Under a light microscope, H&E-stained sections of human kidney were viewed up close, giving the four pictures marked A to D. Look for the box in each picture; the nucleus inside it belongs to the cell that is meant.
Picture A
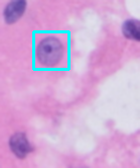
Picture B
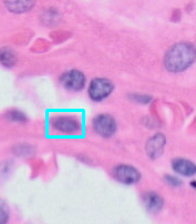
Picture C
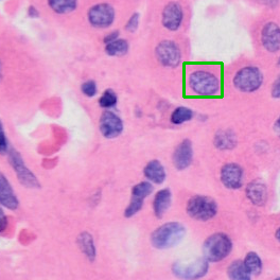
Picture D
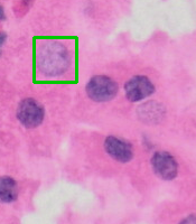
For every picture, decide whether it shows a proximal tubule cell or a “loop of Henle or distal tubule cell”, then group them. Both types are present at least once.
A: proximal tubule cell
B: loop of Henle or distal tubule cell
C: loop of Henle or distal tubule cell
D: proximal tubule cell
